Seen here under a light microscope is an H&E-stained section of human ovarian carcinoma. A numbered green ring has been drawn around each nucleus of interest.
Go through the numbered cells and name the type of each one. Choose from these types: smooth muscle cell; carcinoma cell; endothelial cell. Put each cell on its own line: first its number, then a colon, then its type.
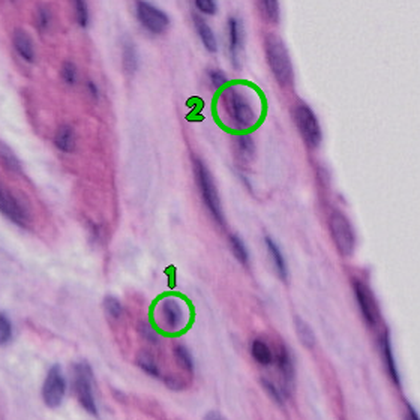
1: smooth muscle cell
2: endothelial cell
